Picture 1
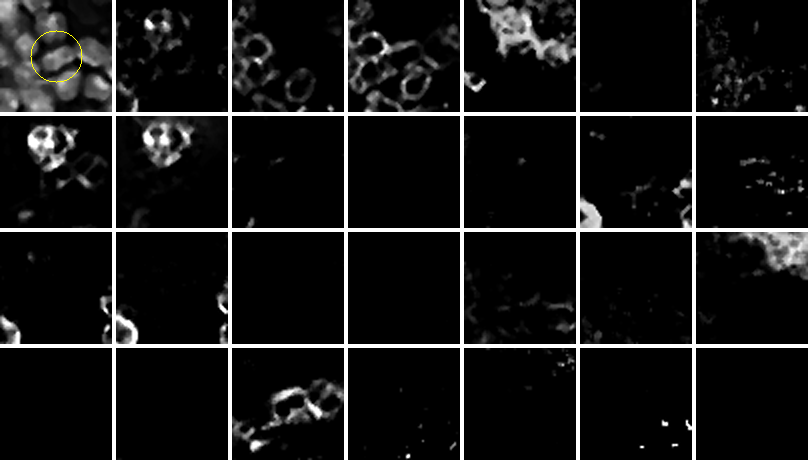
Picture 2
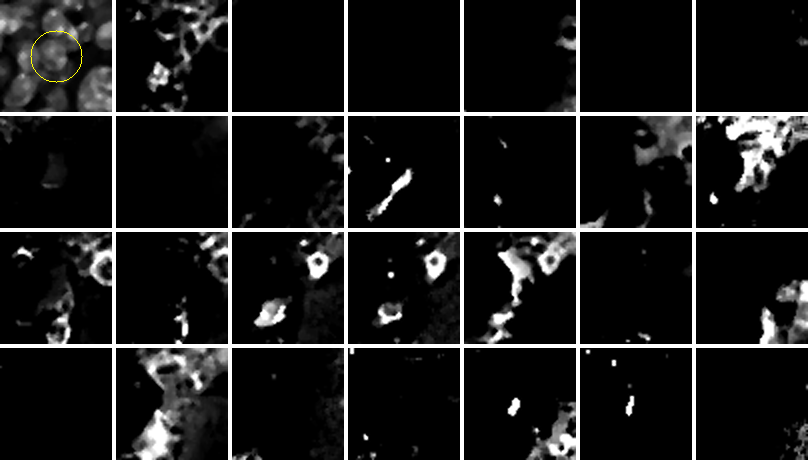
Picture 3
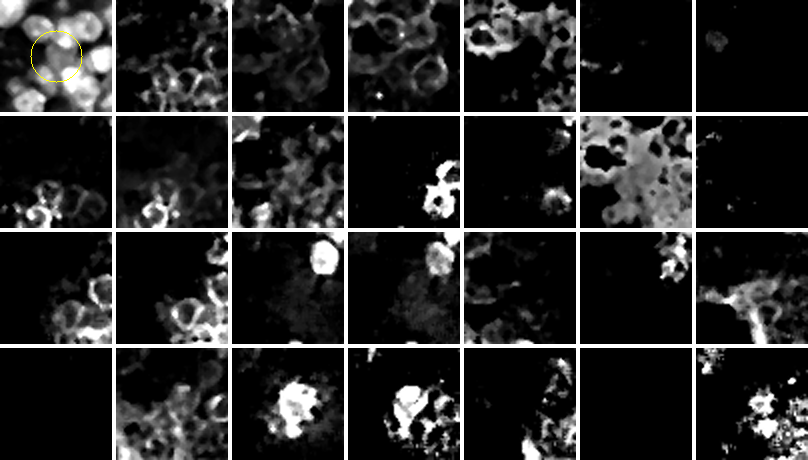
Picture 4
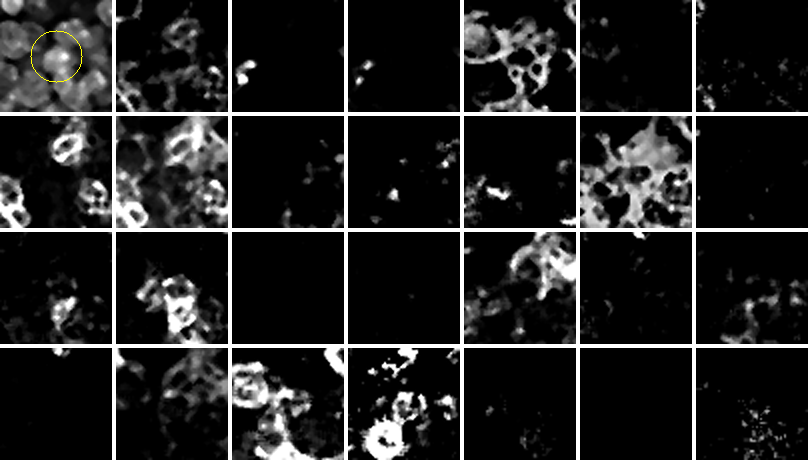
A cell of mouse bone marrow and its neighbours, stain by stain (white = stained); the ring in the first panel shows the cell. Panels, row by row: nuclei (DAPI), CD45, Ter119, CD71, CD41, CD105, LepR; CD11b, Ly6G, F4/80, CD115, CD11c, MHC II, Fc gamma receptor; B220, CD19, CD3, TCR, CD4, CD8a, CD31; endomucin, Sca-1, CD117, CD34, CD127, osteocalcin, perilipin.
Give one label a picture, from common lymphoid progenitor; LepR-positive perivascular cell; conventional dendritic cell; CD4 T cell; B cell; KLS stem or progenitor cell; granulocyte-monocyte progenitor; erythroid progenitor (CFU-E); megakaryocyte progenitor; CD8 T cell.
(1) erythroid progenitor (CFU-E)
(2) common lymphoid progenitor
(3) KLS stem or progenitor cell
(4) megakaryocyte progenitor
